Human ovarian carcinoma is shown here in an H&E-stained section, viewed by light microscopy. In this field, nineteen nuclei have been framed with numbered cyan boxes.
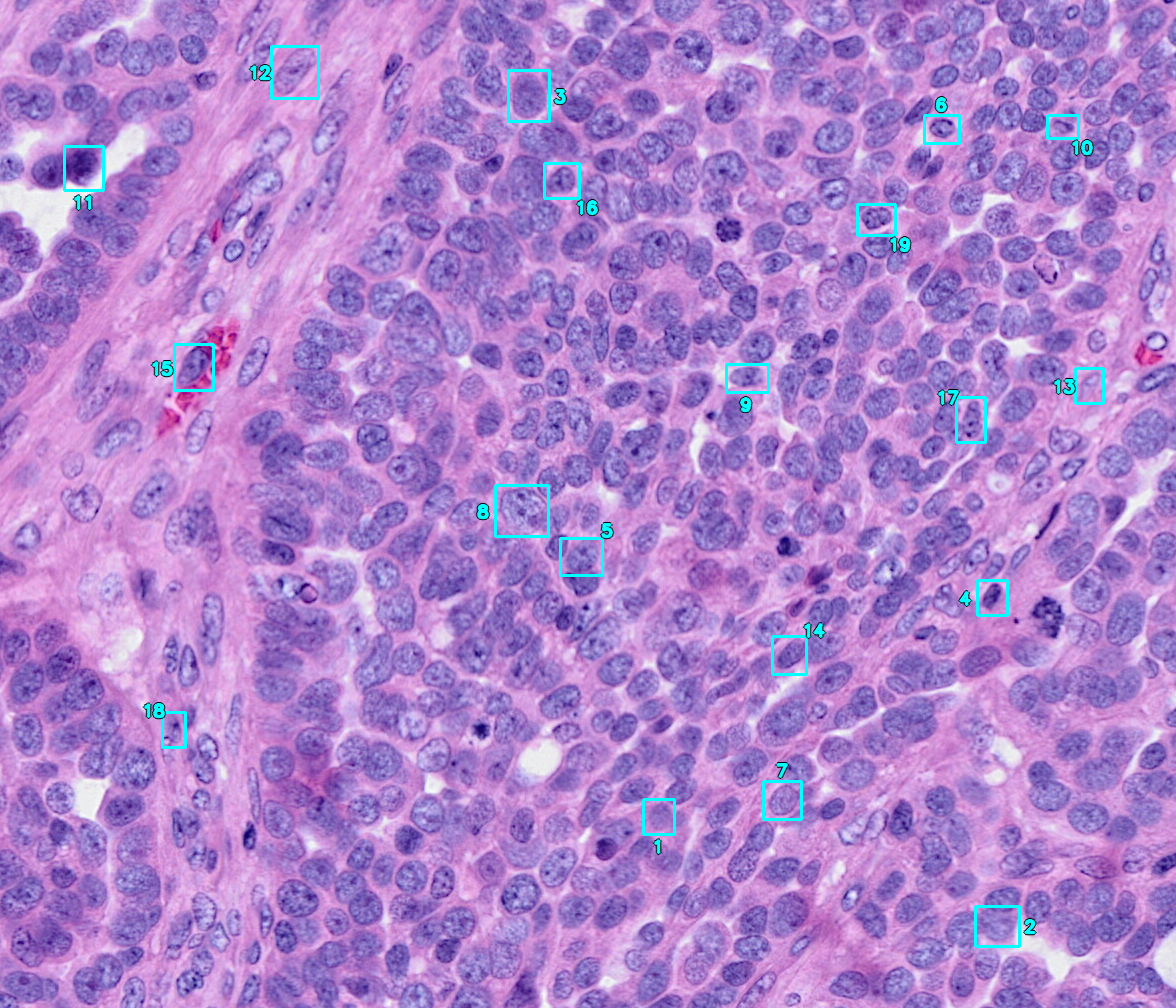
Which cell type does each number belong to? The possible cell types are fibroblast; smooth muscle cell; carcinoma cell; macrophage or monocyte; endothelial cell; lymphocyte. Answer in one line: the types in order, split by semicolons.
carcinoma cell; carcinoma cell; carcinoma cell; lymphocyte; carcinoma cell; macrophage or monocyte; carcinoma cell; carcinoma cell; macrophage or monocyte; macrophage or monocyte; carcinoma cell; fibroblast; fibroblast; carcinoma cell; endothelial cell; macrophage or monocyte; macrophage or monocyte; fibroblast; macrophage or monocyte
